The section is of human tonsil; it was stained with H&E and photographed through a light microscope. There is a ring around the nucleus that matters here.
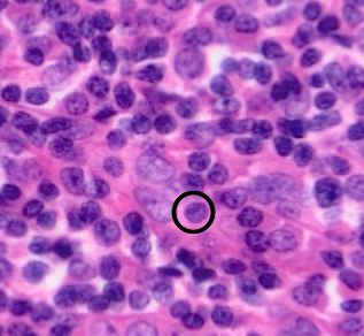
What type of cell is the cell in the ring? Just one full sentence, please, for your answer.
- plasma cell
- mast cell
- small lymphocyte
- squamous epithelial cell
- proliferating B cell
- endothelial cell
As for its identity, the cell in the ring is an endothelial cell.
